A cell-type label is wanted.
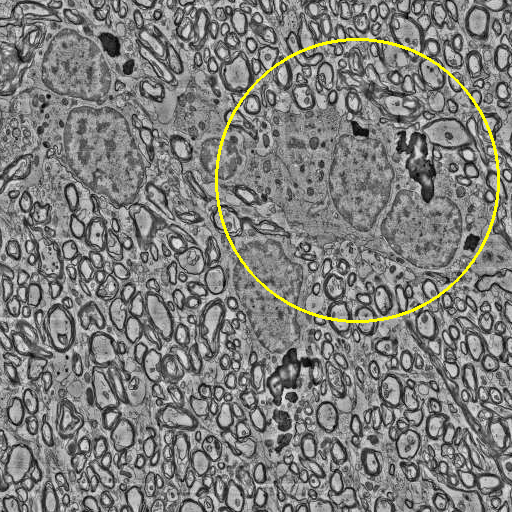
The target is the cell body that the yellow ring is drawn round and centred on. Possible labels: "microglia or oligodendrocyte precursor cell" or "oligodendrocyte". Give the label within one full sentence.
Of the labels offered, the cell in the middle of the yellow ring is an oligodendrocyte.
